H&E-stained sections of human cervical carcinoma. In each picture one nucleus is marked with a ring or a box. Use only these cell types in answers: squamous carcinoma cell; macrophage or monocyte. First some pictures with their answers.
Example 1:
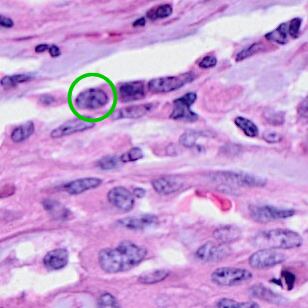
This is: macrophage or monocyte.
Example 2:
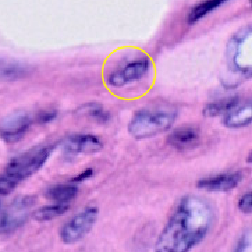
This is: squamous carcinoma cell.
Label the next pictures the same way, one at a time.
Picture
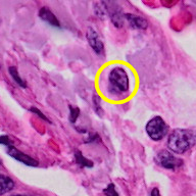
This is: macrophage or monocyte.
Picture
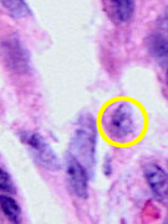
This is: macrophage or monocyte.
